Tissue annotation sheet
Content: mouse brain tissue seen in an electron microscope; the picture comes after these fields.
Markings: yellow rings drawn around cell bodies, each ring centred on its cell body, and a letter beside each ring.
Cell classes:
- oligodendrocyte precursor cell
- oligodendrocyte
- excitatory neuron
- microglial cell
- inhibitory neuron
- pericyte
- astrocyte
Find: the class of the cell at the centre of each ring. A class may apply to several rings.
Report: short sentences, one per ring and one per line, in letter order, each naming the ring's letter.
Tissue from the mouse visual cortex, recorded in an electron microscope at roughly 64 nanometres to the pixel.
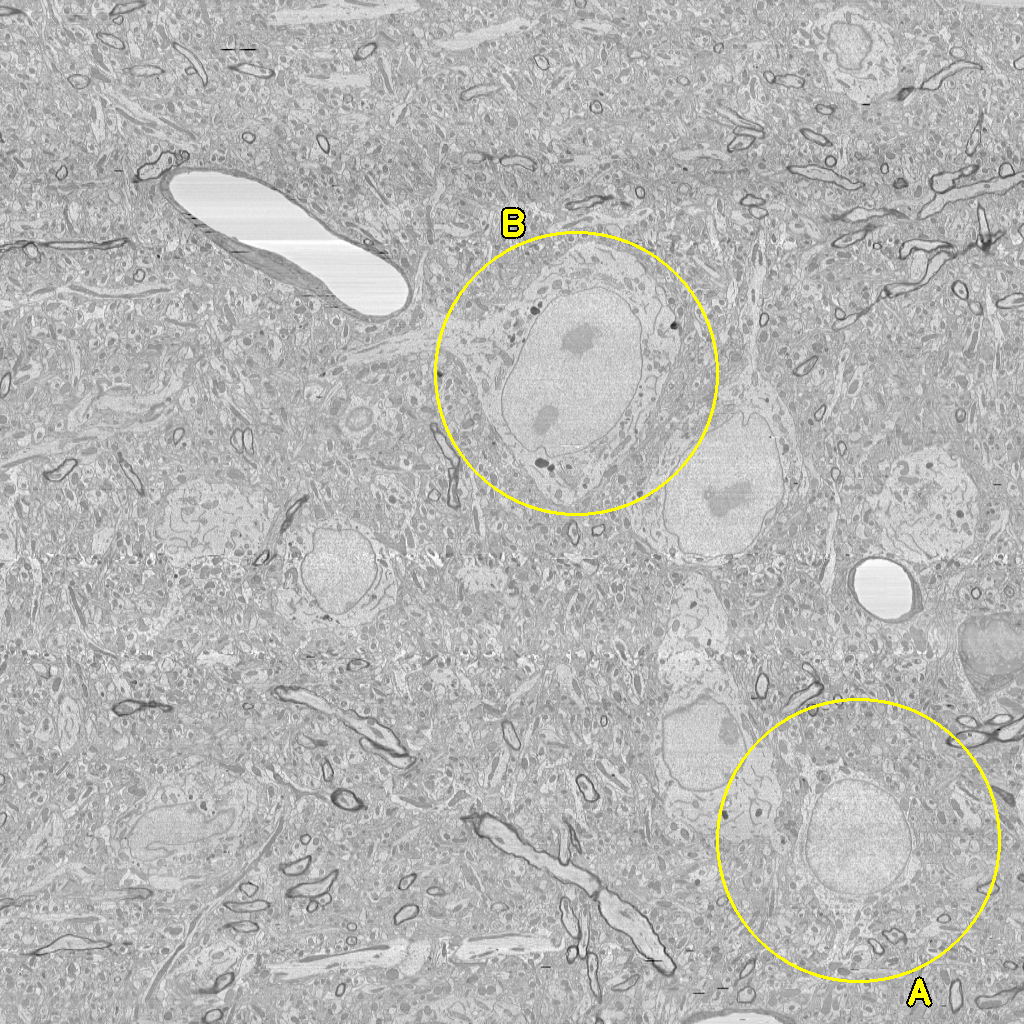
Ring A holds an astrocyte at its centre.
Ring B holds an excitatory neuron at its centre.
